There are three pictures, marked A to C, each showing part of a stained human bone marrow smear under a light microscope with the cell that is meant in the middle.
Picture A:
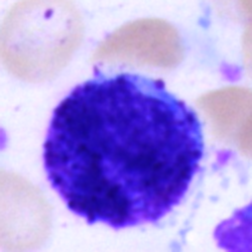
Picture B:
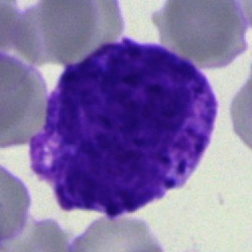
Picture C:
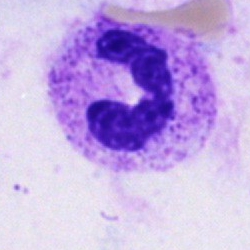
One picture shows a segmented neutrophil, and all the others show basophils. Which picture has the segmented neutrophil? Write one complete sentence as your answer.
It is picture C that shows the segmented neutrophil.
